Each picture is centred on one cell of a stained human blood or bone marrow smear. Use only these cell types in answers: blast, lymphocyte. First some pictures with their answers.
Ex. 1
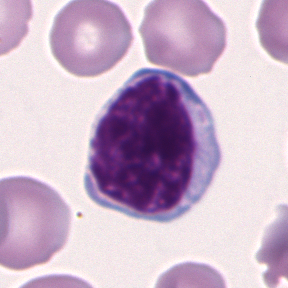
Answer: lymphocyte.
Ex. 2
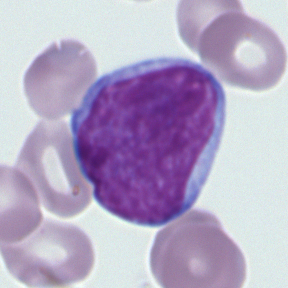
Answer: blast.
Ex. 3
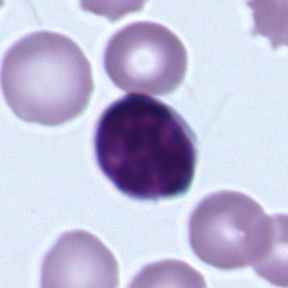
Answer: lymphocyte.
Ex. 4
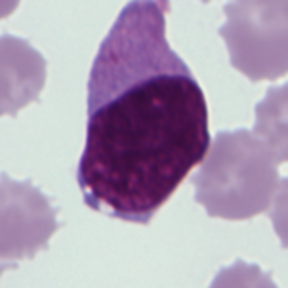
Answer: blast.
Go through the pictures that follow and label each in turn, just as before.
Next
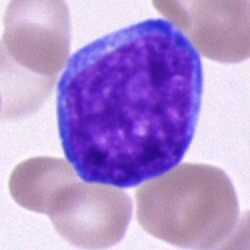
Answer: blast.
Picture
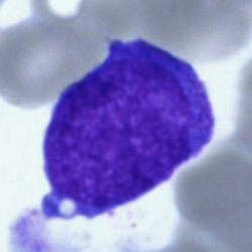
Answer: blast.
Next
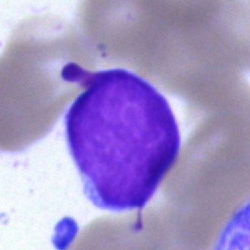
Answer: blast.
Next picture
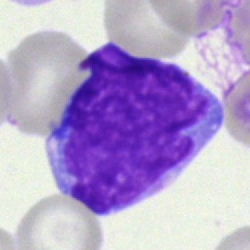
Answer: blast.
